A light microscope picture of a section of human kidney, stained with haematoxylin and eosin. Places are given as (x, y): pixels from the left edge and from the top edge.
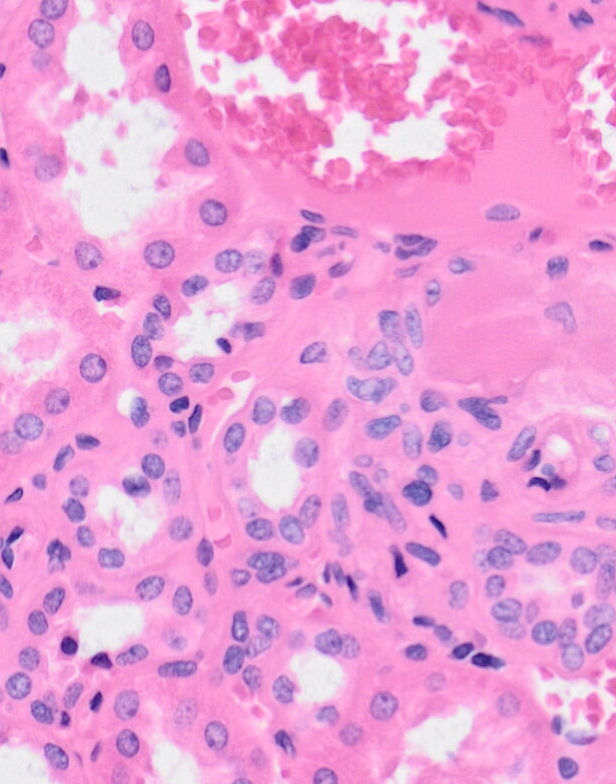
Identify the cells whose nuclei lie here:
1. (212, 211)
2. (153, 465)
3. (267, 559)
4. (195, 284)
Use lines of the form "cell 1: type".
cell 1: proximal tubule cell
cell 2: collecting duct cell
cell 3: collecting duct cell
cell 4: collecting duct cell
